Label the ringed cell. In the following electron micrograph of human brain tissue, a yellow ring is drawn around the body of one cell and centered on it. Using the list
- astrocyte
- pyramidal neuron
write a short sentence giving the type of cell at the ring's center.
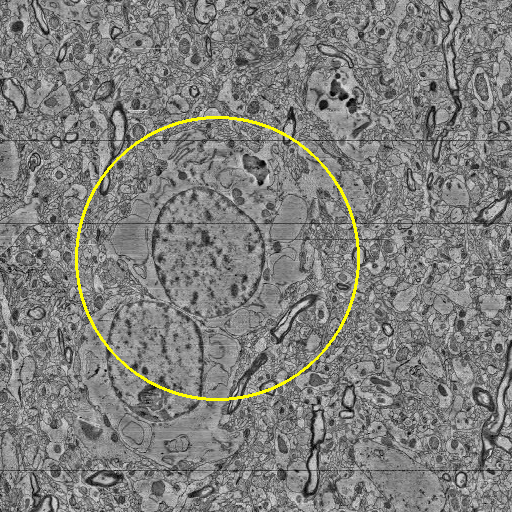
The cell body at the ring's center is that of an astrocyte.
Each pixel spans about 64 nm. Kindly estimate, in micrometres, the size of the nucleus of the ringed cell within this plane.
Roughly 9 by 7 micrometres in this plane, for the nucleus of the ringed cell.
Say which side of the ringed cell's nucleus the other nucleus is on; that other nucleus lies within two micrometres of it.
The second nucleus sits to the lower left of it.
